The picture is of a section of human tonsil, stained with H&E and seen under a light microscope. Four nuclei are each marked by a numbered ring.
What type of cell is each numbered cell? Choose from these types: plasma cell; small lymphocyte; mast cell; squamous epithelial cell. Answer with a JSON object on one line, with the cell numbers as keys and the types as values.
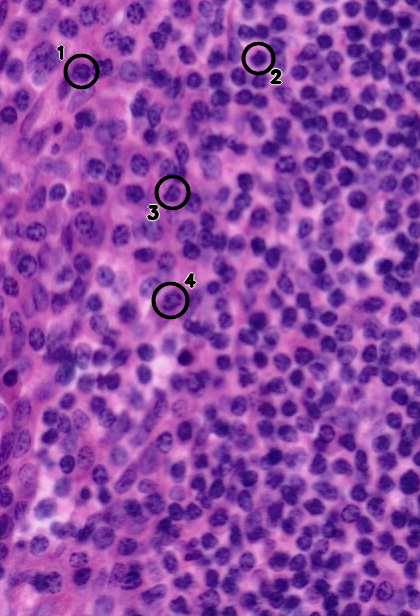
{"1": "plasma cell", "2": "small lymphocyte", "3": "plasma cell", "4": "plasma cell"}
